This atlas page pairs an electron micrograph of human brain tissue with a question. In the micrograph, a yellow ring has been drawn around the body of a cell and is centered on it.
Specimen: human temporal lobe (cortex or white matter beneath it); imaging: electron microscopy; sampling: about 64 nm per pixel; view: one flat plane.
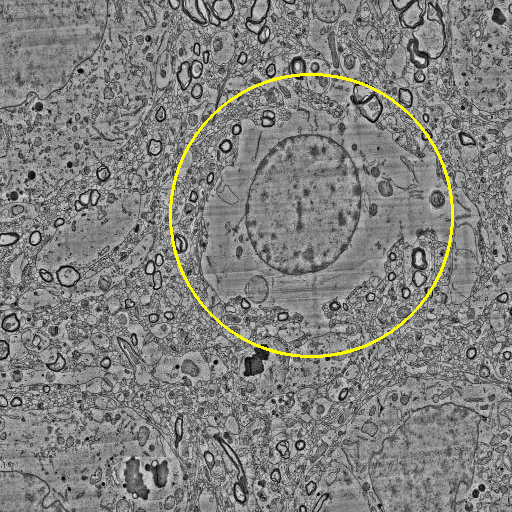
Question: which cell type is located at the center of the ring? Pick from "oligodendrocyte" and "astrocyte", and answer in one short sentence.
Located at the center of the ring is an astrocyte.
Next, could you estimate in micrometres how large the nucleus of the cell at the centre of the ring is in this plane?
In this plane the nucleus spans approximately 9 by 7 micrometers.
